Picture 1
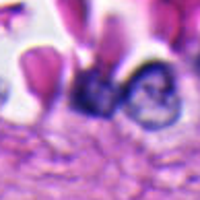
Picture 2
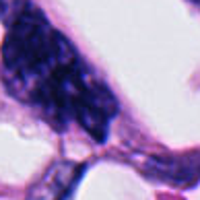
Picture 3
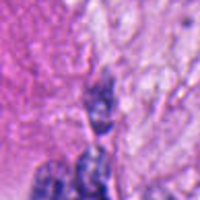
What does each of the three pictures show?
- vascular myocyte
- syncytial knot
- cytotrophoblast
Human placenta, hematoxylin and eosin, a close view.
(1) vascular myocyte
(2) syncytial knot
(3) cytotrophoblast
